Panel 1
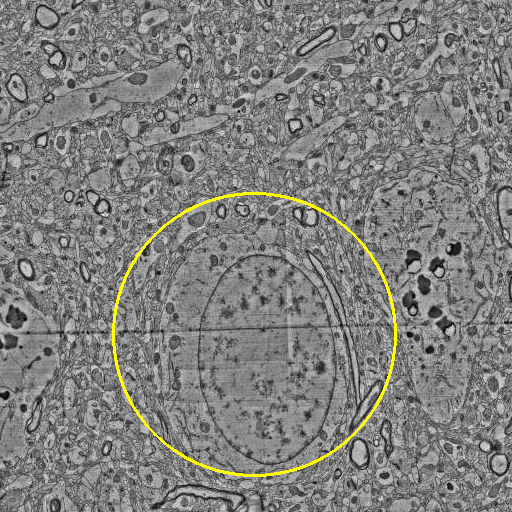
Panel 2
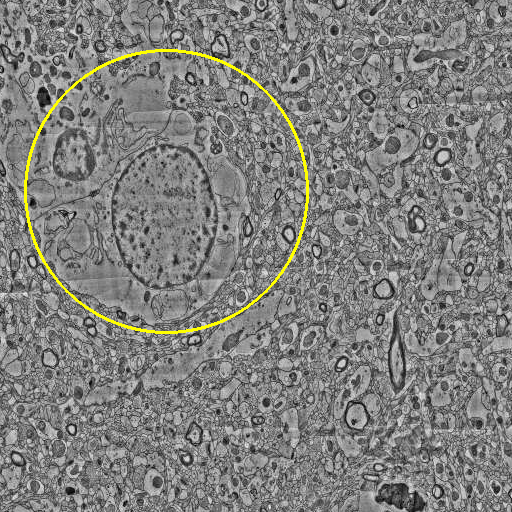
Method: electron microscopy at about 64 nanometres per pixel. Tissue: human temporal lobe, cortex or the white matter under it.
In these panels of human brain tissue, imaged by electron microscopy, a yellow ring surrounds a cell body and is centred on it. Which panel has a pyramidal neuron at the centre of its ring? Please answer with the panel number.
1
